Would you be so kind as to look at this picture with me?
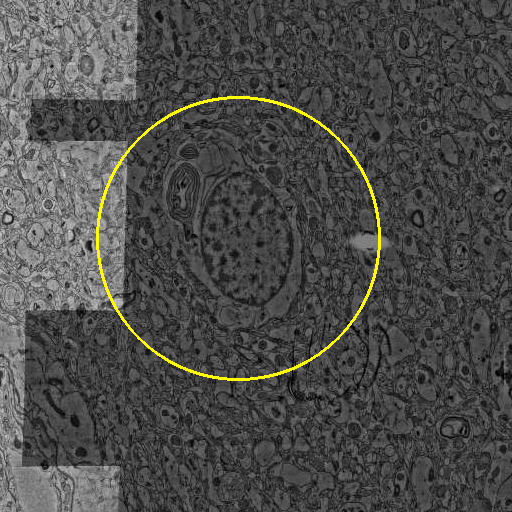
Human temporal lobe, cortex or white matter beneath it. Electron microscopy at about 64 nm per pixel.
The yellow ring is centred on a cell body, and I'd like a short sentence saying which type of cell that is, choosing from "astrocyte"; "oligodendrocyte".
The cell body in the ring belongs to an astrocyte.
